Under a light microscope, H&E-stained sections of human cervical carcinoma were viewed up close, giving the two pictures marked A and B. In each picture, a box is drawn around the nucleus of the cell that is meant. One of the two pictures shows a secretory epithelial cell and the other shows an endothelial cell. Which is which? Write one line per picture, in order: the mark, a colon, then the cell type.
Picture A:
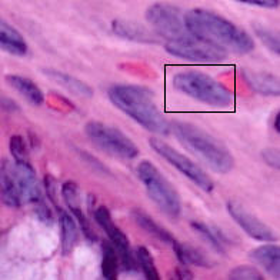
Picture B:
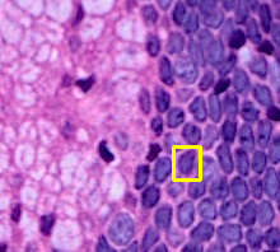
A: endothelial cell
B: secretory epithelial cell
